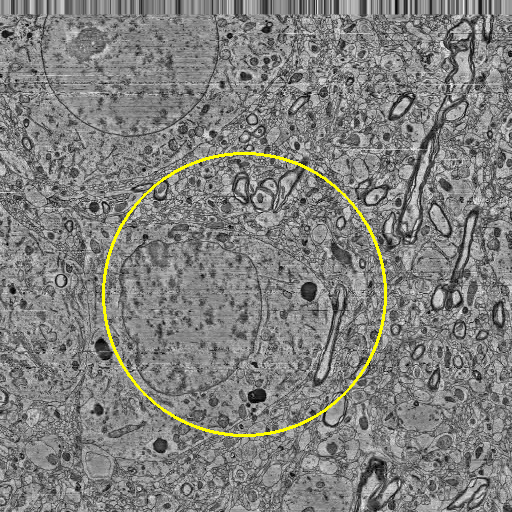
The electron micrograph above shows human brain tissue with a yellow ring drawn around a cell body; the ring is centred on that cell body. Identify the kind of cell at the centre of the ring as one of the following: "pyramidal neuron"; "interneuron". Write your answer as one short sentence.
The cell at the centre of the ring is a pyramidal neuron.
